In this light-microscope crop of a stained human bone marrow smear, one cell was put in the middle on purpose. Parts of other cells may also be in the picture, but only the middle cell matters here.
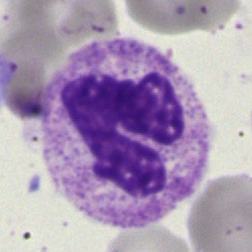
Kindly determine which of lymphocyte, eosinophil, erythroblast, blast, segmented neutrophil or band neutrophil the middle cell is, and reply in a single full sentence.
In the middle of this smear crop is a band neutrophil.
